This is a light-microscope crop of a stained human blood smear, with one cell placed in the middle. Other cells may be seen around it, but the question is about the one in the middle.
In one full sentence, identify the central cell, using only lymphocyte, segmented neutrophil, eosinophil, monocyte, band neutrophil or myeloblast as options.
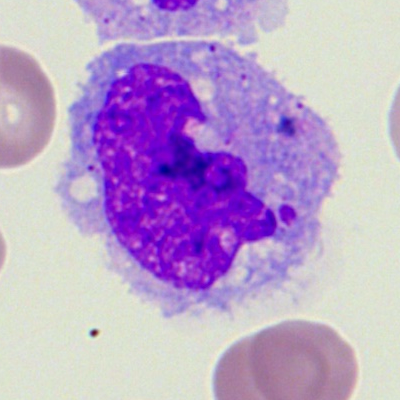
Answering briefly, the cell in the middle is a monocyte.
